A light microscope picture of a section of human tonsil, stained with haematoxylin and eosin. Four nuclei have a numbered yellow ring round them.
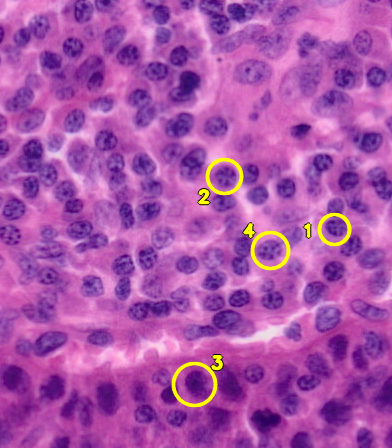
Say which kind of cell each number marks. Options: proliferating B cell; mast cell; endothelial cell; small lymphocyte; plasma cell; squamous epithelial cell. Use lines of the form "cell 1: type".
cell 1: plasma cell
cell 2: plasma cell
cell 3: squamous epithelial cell
cell 4: plasma cell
